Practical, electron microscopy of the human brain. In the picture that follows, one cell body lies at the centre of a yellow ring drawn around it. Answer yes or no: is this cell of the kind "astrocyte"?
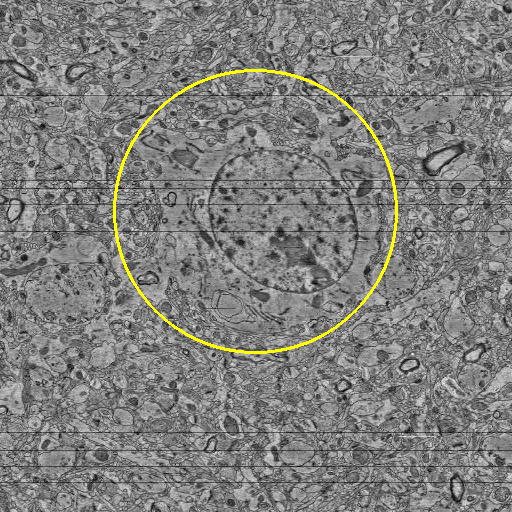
yes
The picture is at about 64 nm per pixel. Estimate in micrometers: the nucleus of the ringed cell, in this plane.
In this plane the nucleus spans approximately 10 by 9 micrometers.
